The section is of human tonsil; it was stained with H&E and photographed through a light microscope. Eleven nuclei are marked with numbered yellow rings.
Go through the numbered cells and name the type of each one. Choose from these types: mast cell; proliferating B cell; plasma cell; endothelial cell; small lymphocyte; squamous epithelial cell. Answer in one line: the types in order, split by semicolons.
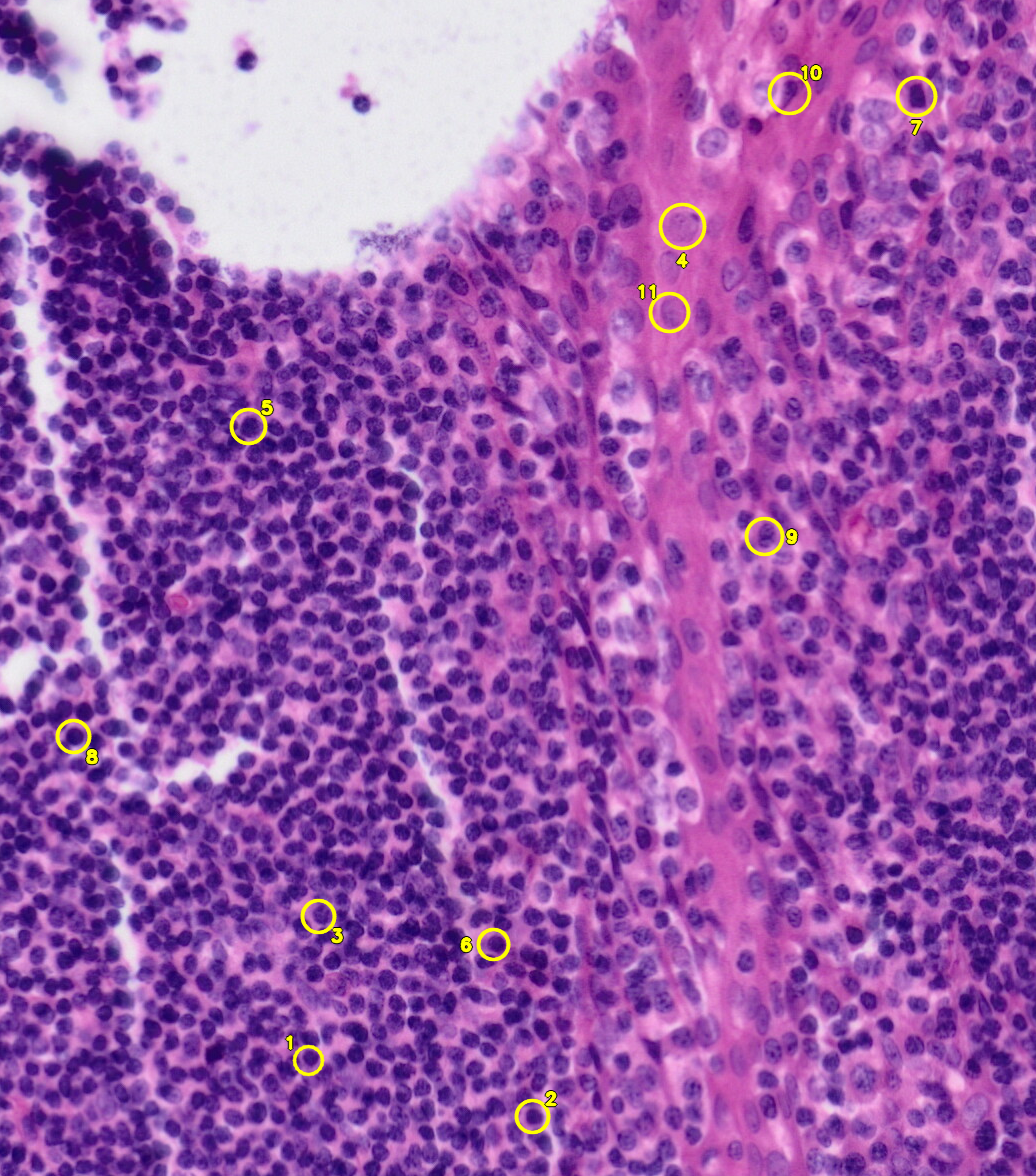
small lymphocyte; small lymphocyte; small lymphocyte; squamous epithelial cell; small lymphocyte; small lymphocyte; squamous epithelial cell; small lymphocyte; plasma cell; squamous epithelial cell; squamous epithelial cell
